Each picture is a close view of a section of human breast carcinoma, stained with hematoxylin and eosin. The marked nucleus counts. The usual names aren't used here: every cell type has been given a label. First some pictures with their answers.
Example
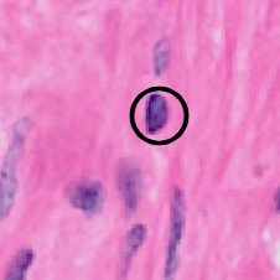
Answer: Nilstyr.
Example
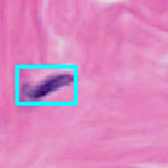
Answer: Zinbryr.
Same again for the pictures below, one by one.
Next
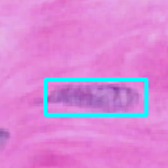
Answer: Zinbryr.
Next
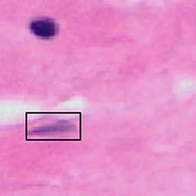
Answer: Zinbryr.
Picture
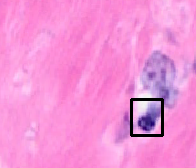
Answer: Nilstyr.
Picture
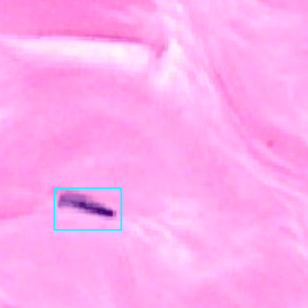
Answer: Zinbryr.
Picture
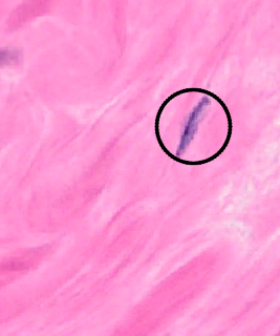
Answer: Zinbryr.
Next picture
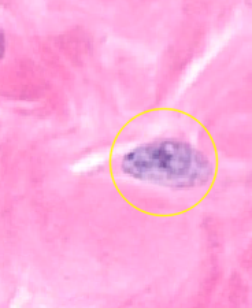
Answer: Zinbryr.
